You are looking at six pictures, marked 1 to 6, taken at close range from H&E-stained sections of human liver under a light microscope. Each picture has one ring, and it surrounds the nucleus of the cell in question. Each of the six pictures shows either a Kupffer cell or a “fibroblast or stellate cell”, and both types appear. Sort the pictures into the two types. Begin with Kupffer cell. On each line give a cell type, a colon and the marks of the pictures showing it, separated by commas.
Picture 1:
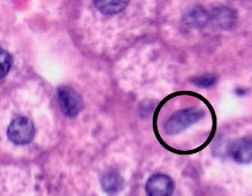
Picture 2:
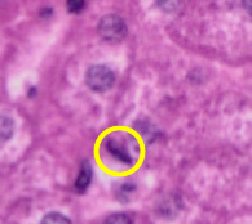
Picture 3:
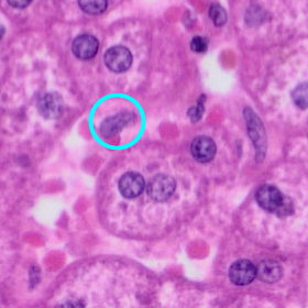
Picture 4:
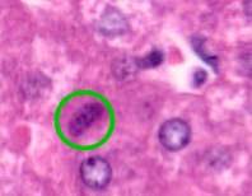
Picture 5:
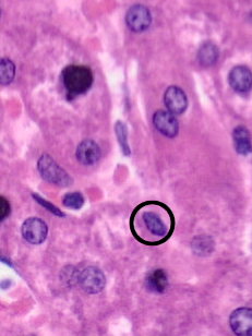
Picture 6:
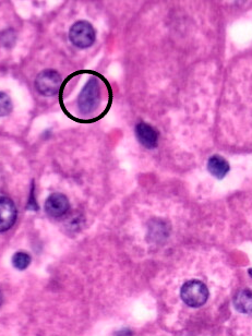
Kupffer cell: 1, 3, 6
fibroblast or stellate cell: 2, 4, 5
